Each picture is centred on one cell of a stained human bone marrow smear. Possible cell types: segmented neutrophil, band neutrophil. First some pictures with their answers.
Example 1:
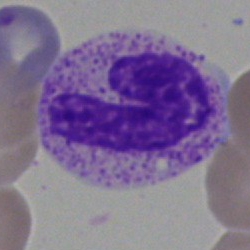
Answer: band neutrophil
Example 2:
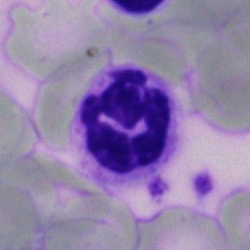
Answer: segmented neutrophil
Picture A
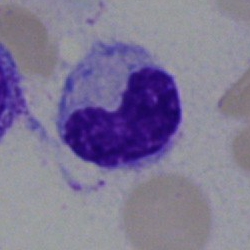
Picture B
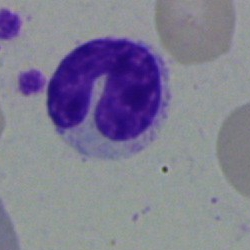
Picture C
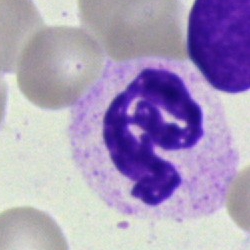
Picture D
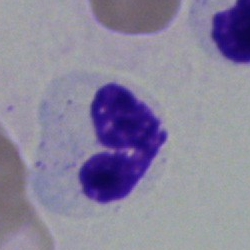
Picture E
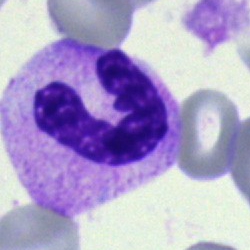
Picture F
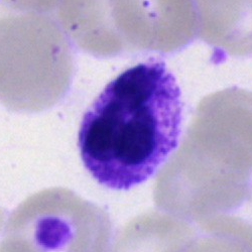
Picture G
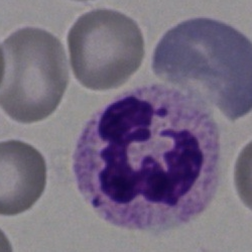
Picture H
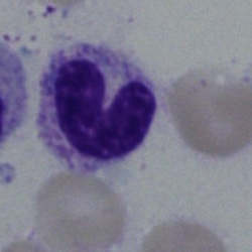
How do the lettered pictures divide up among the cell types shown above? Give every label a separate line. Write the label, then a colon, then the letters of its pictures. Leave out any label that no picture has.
segmented neutrophil: C, D, E, F, G
band neutrophil: A, B, H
